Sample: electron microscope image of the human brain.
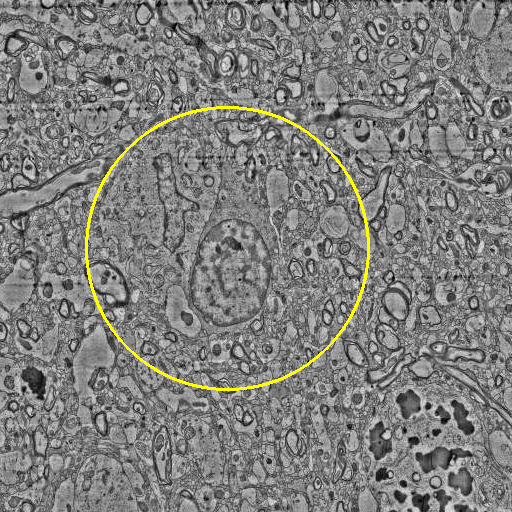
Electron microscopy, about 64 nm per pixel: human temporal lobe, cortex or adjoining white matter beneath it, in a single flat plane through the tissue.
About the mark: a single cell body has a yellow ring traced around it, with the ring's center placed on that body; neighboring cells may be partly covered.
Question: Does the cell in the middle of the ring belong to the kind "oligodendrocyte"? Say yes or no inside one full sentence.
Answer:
Yes, the cell at the ring's center in this image belongs to that kind.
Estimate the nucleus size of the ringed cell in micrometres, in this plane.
Roughly 7 by 5 micrometres is the size of the nucleus in this plane.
